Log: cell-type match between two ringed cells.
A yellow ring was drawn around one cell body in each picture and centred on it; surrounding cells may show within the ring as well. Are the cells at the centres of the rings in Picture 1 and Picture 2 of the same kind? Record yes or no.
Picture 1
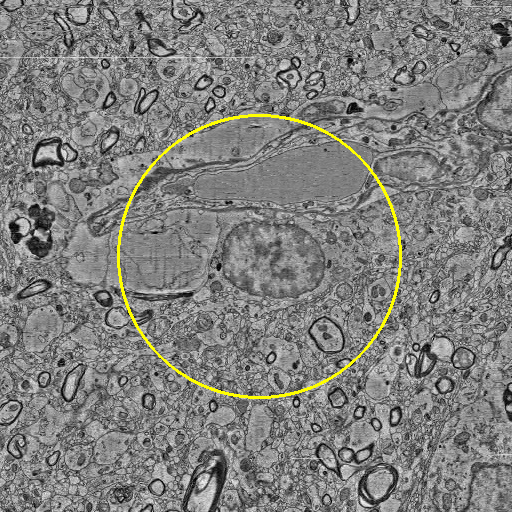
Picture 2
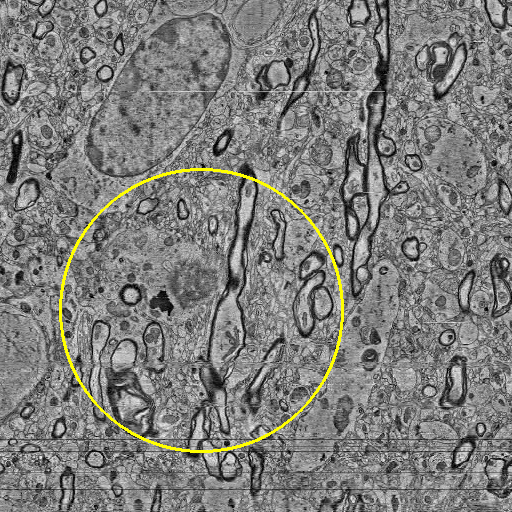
yes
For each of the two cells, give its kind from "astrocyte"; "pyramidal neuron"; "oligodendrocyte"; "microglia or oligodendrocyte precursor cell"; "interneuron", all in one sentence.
Both pictures show an oligodendrocyte at the centre of the ring.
